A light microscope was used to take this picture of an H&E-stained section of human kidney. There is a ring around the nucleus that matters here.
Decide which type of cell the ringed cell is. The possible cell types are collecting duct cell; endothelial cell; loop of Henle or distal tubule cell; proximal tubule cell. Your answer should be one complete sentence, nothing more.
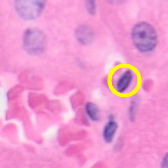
As for its identity, the ringed cell is an endothelial cell.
